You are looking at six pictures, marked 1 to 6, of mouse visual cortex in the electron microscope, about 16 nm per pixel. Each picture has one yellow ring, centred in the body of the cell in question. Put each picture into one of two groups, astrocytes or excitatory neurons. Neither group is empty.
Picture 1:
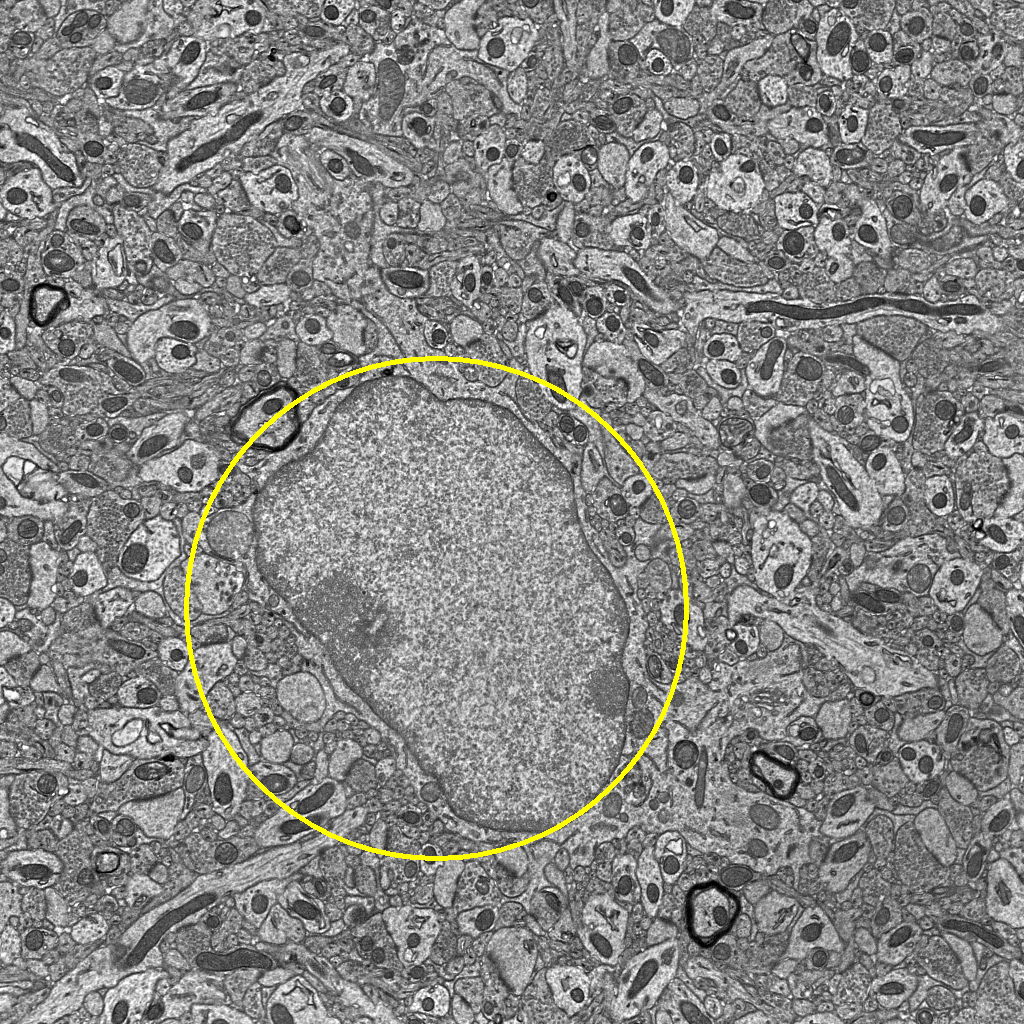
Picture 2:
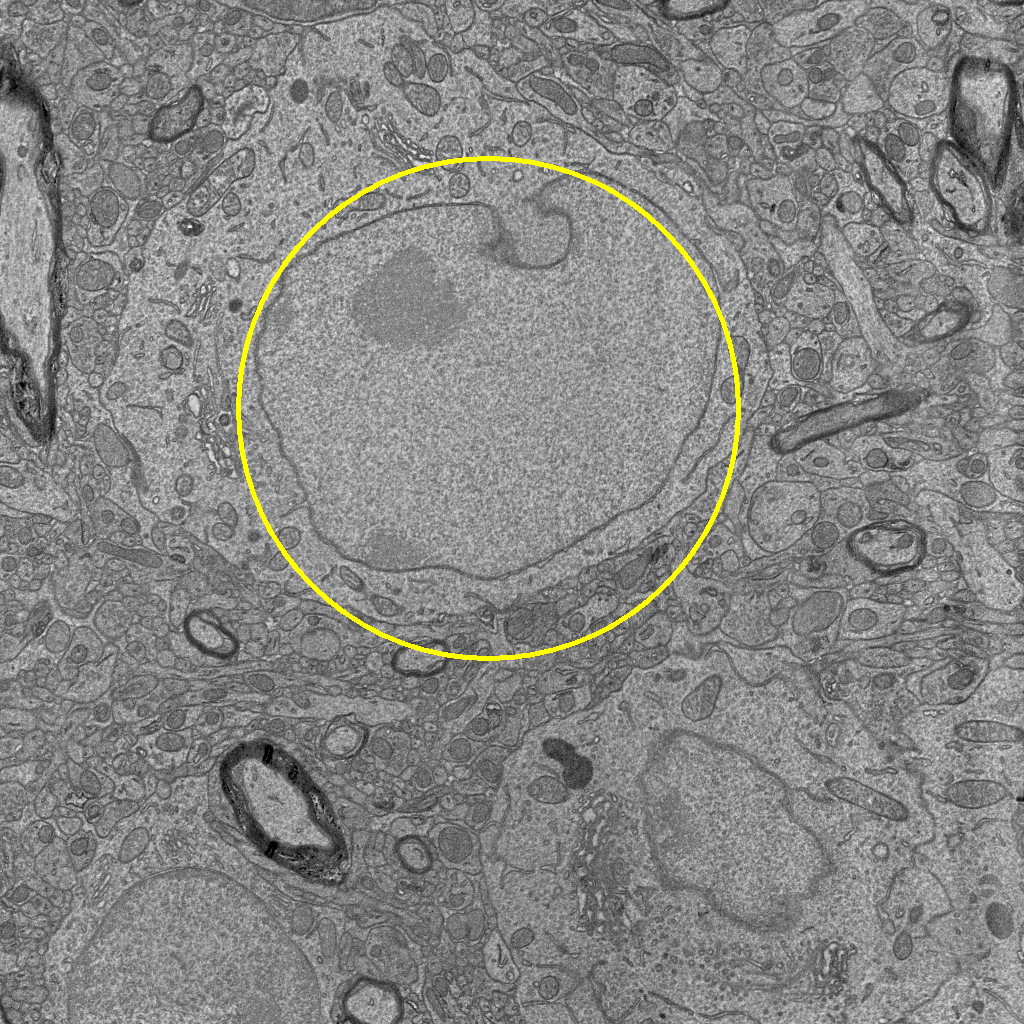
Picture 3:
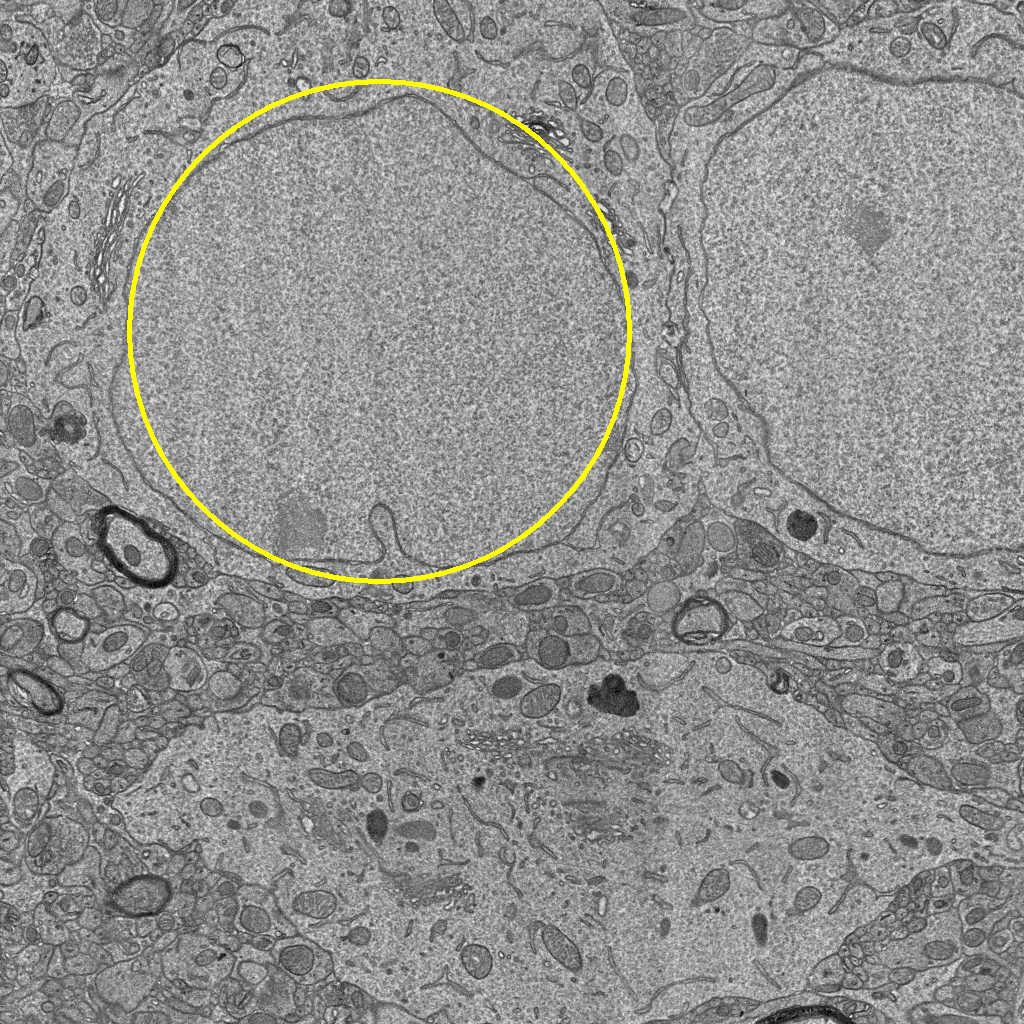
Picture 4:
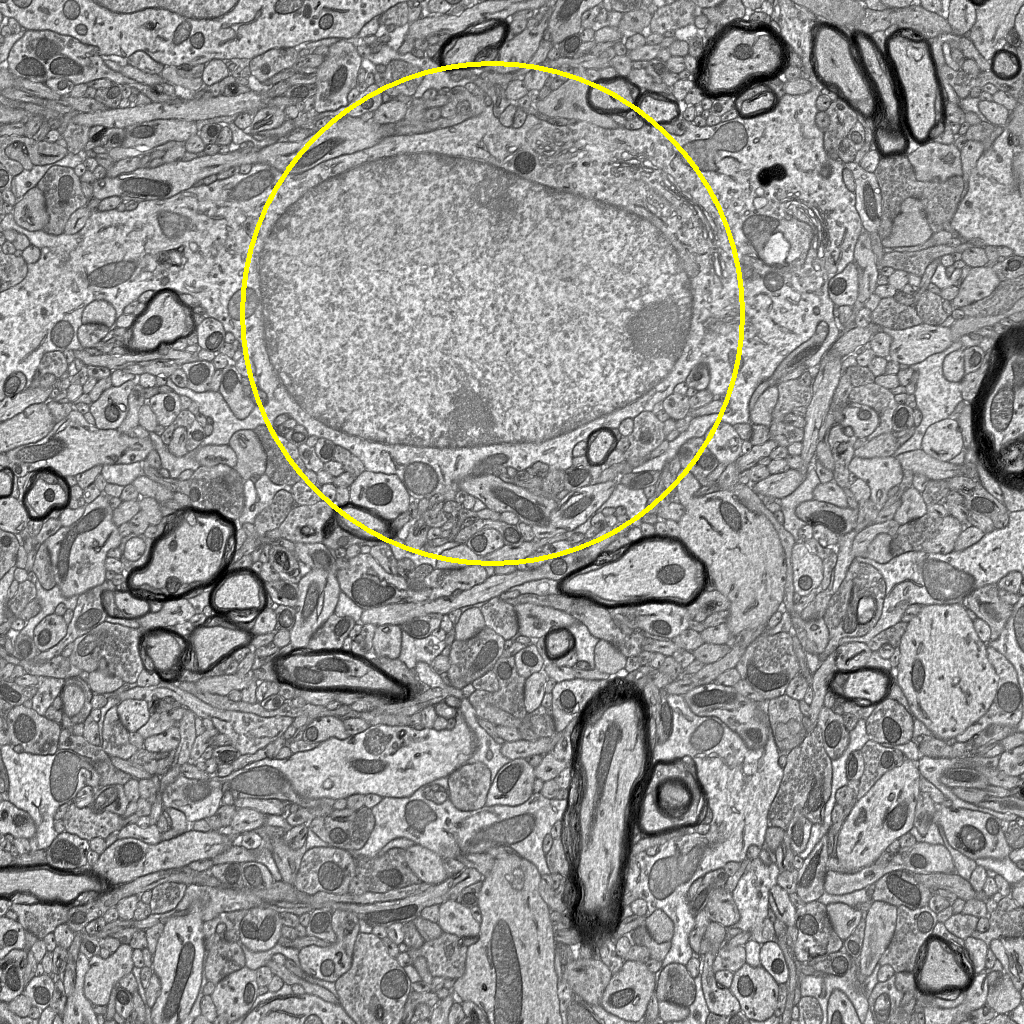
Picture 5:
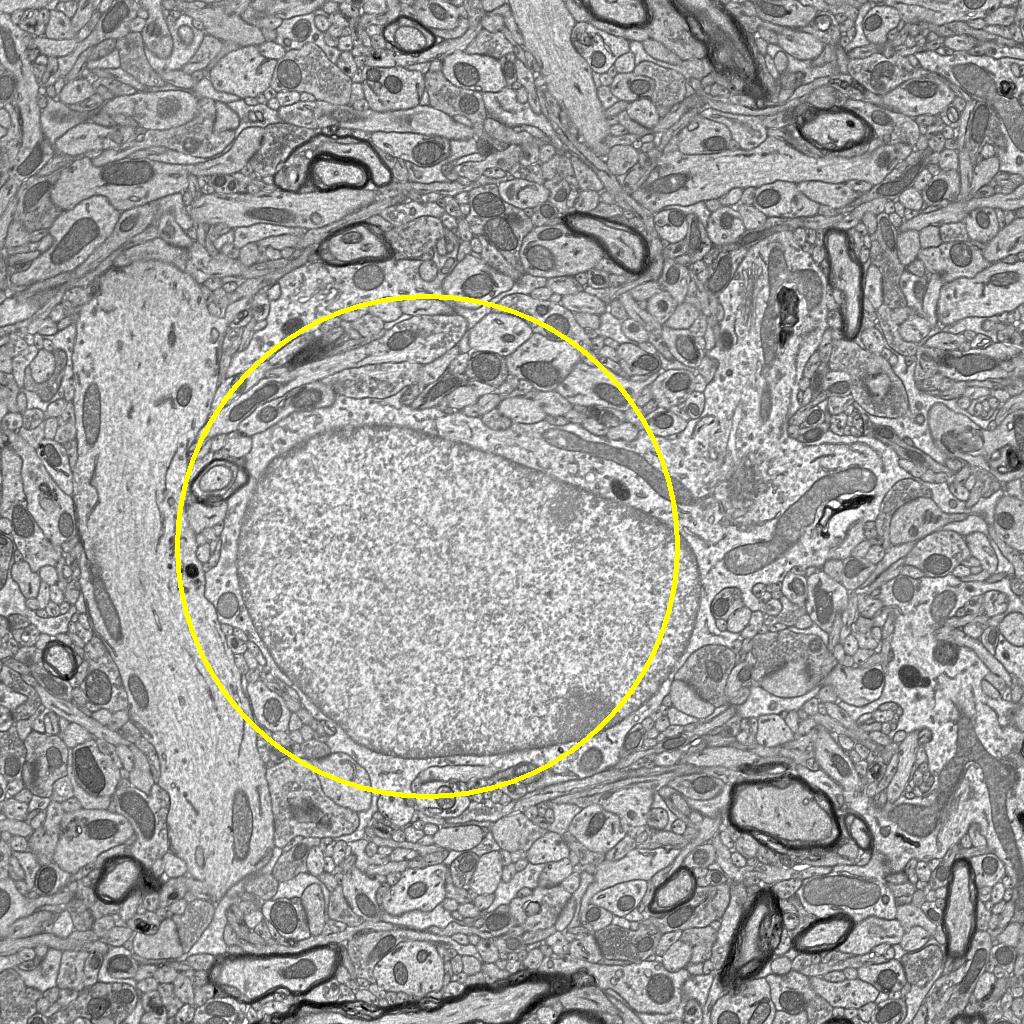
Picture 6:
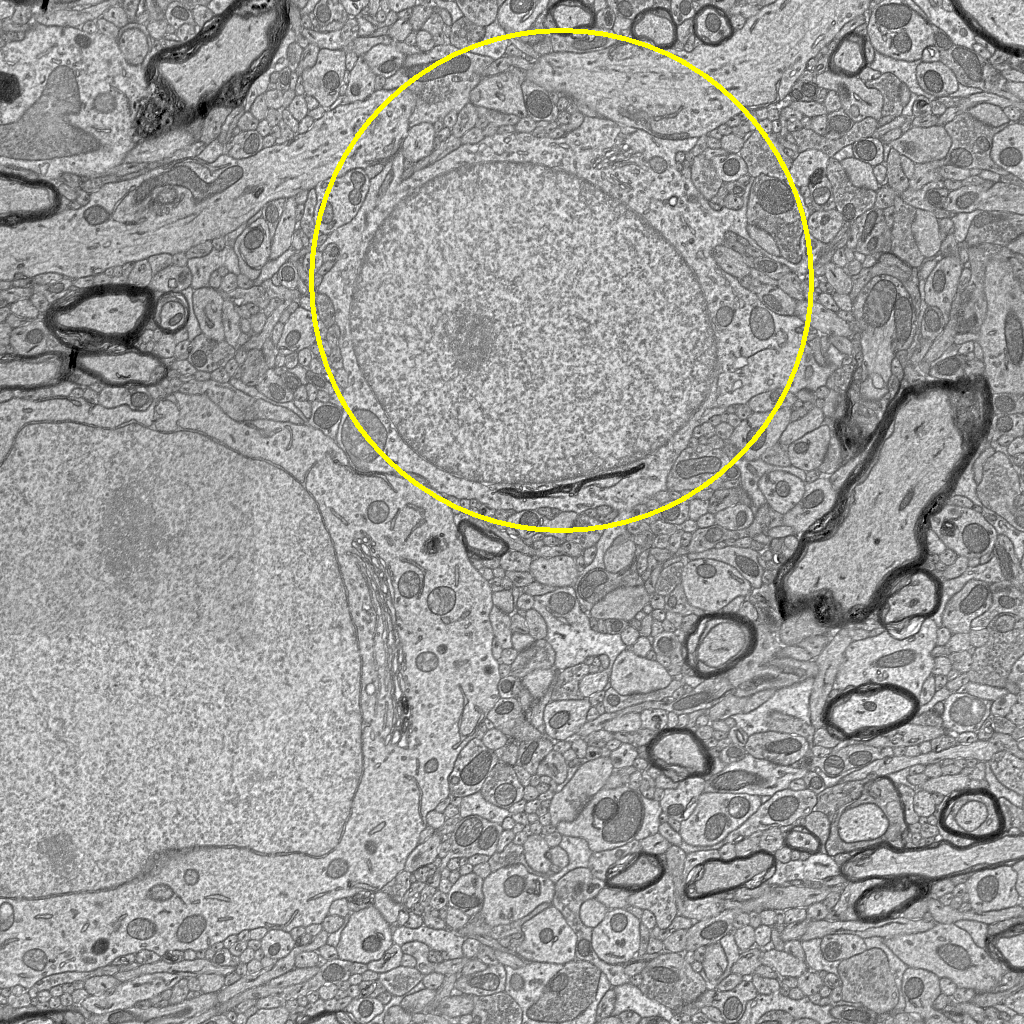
Pictures 1, 4, 5 and 6 show astrocytes, while pictures 2 and 3 show excitatory neurons.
